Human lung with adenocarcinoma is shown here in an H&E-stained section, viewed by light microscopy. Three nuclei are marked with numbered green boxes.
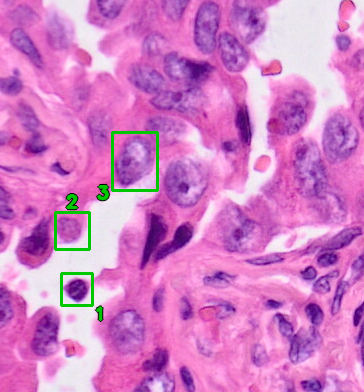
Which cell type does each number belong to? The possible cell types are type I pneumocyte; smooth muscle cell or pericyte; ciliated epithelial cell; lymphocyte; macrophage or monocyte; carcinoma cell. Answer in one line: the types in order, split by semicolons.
lymphocyte; carcinoma cell; carcinoma cell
